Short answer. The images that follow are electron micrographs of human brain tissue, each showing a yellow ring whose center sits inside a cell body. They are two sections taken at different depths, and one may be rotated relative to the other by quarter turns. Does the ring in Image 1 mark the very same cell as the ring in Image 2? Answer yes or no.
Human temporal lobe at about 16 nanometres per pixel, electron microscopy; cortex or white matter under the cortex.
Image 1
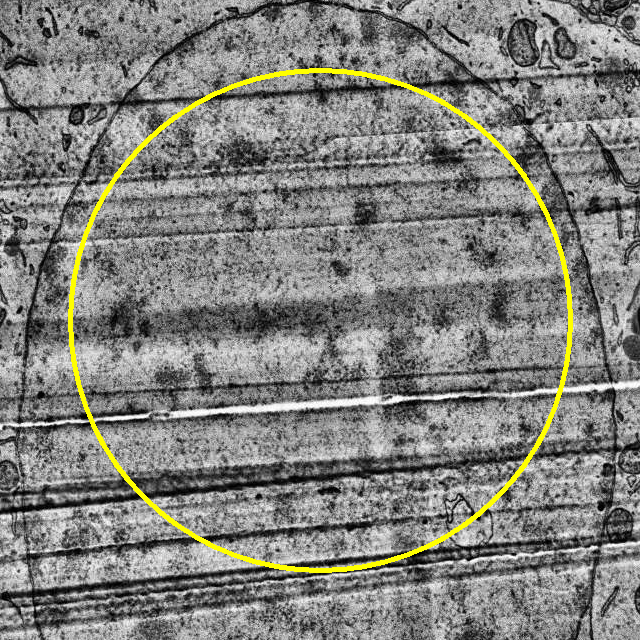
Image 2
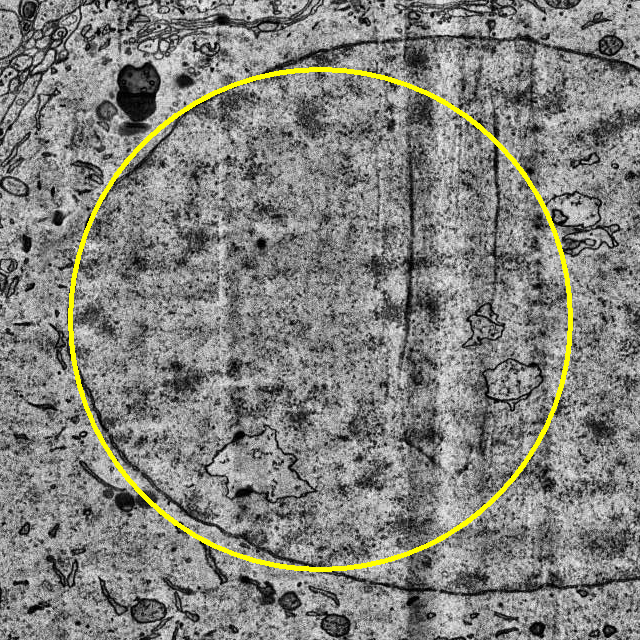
yes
